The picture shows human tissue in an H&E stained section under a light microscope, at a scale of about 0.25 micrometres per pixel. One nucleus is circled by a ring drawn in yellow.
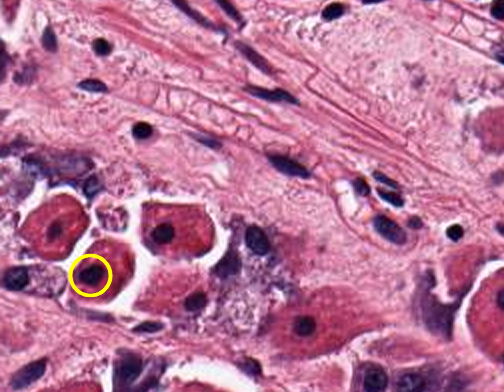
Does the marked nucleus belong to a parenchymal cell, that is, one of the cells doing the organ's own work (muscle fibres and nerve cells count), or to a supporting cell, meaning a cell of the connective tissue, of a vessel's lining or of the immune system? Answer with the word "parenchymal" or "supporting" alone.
parenchymal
